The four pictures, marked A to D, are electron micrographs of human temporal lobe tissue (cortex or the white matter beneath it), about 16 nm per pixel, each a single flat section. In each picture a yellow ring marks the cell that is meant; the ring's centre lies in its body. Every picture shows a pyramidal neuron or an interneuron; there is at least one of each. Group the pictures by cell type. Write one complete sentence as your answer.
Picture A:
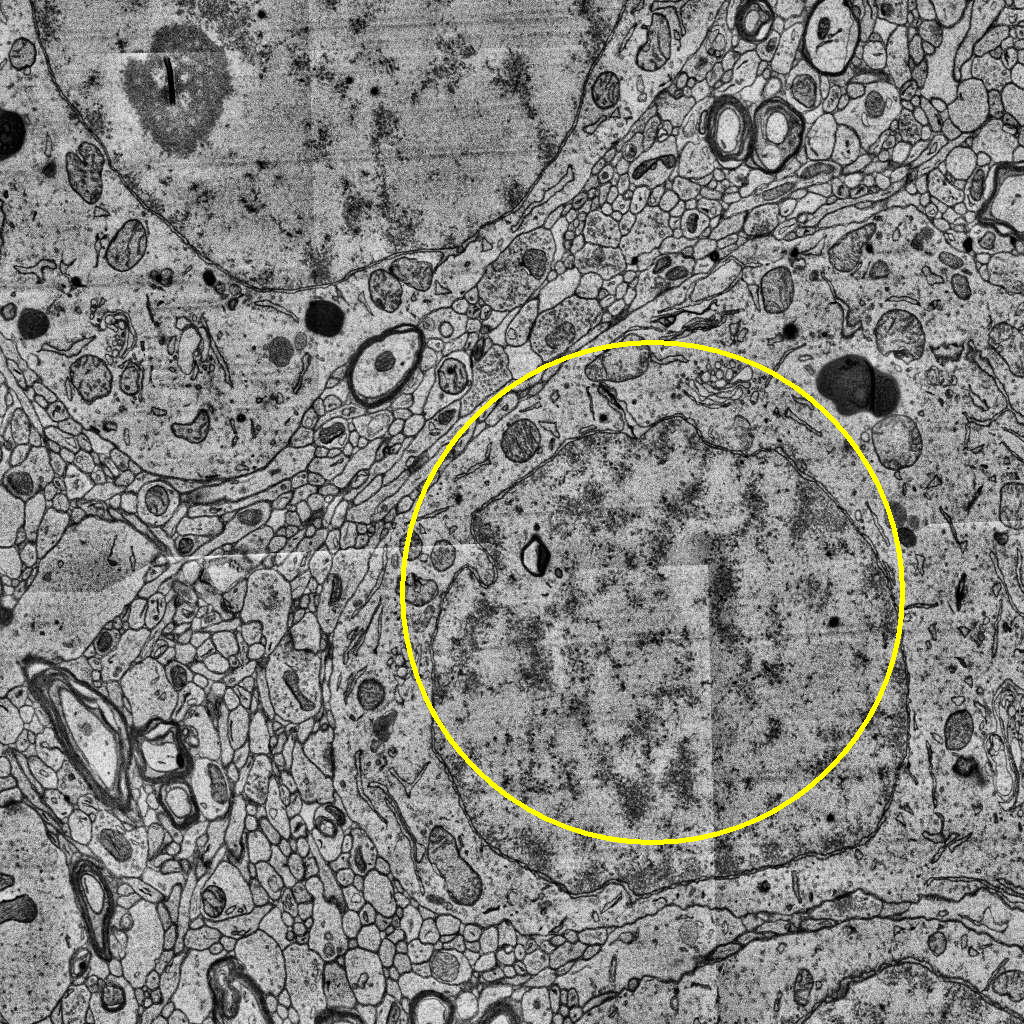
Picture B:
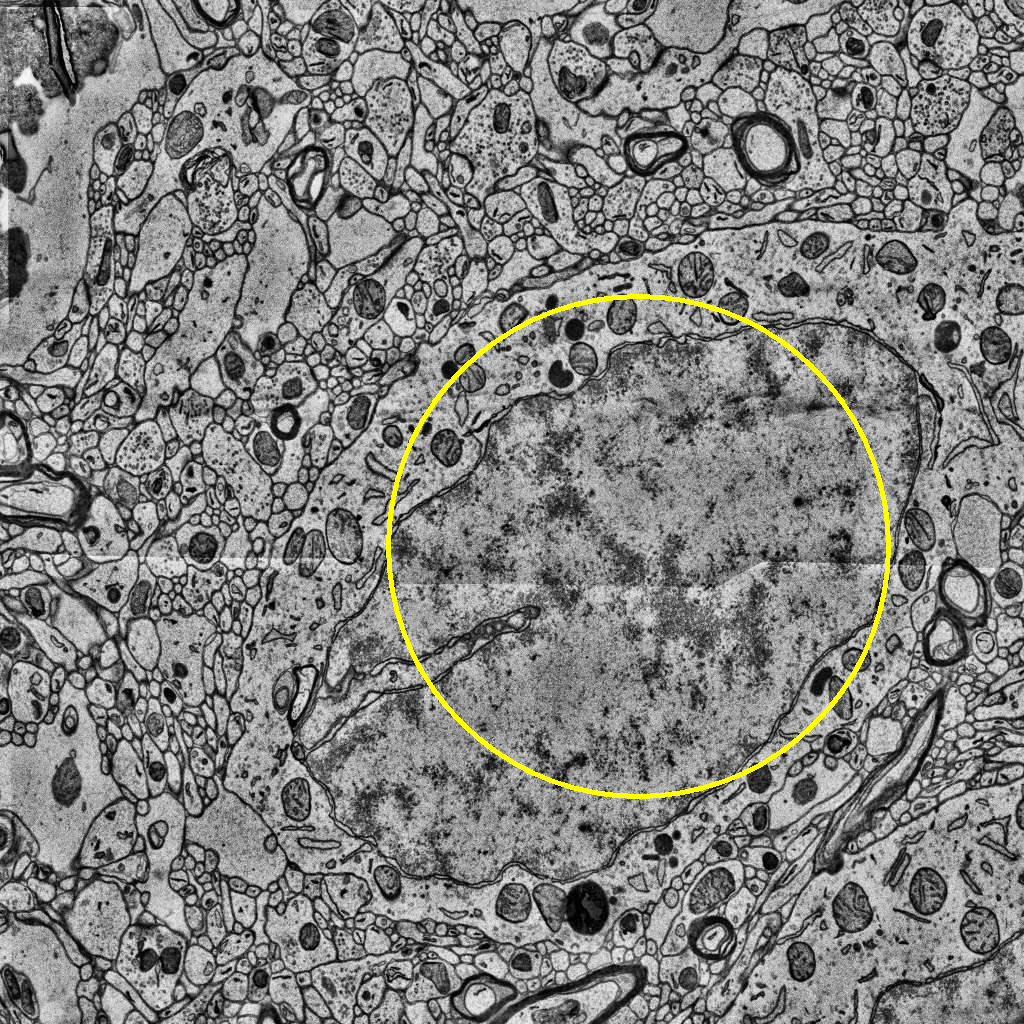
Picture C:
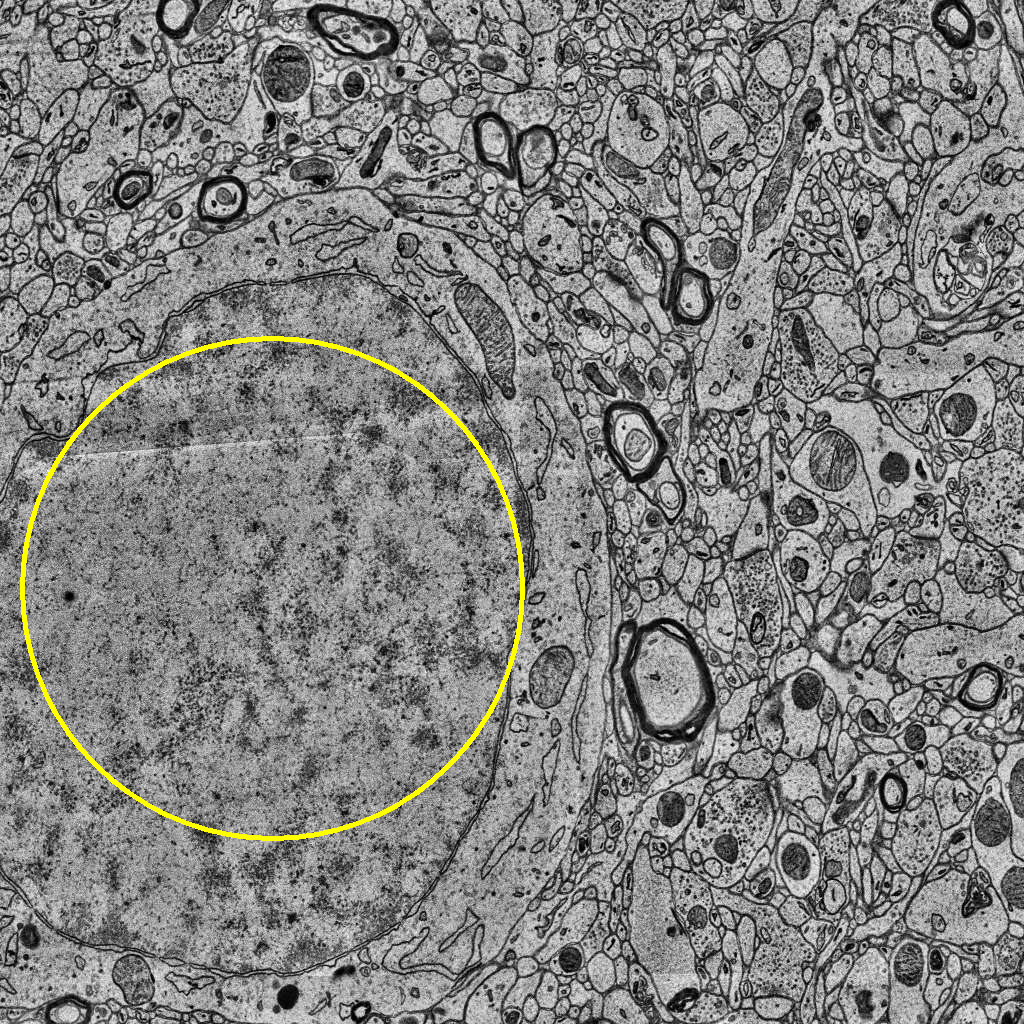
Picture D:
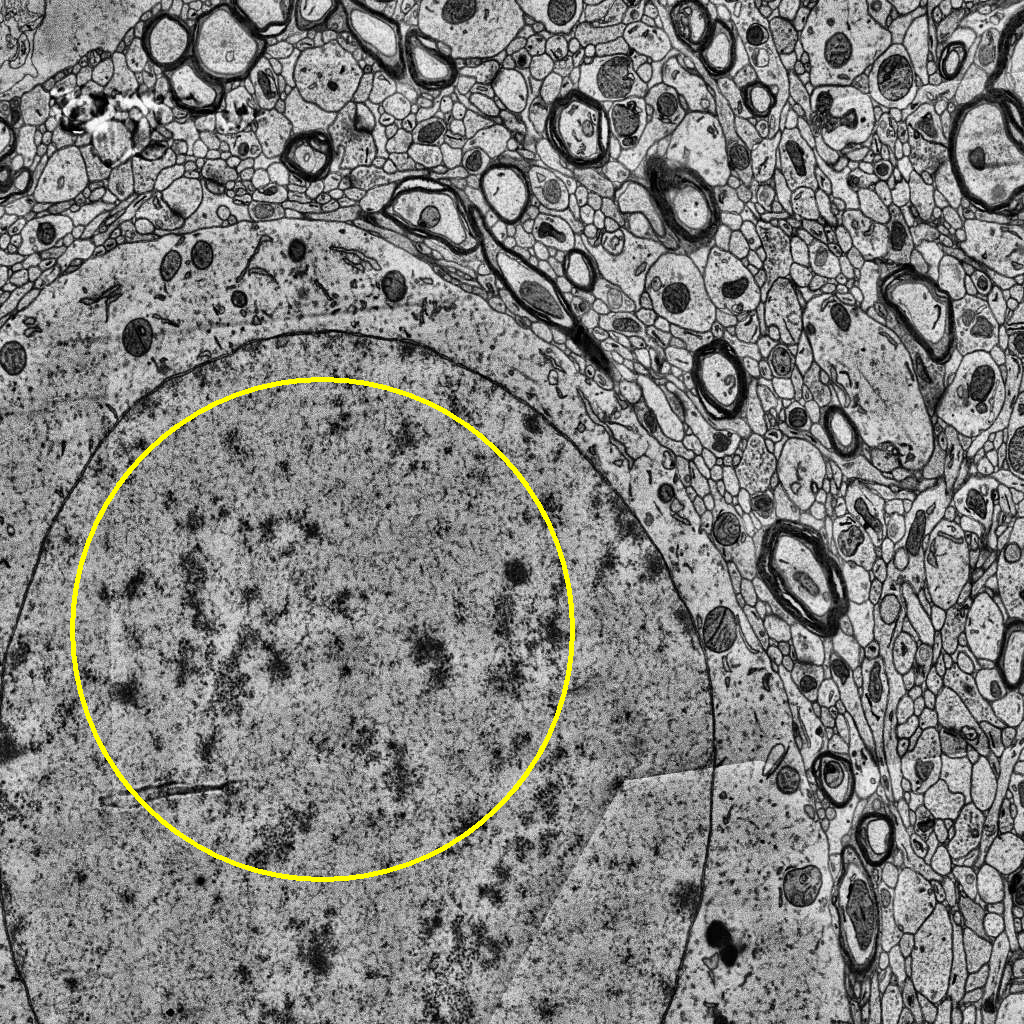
Picture D shows a pyramidal neuron, while pictures A, B and C show interneurons.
